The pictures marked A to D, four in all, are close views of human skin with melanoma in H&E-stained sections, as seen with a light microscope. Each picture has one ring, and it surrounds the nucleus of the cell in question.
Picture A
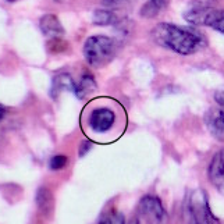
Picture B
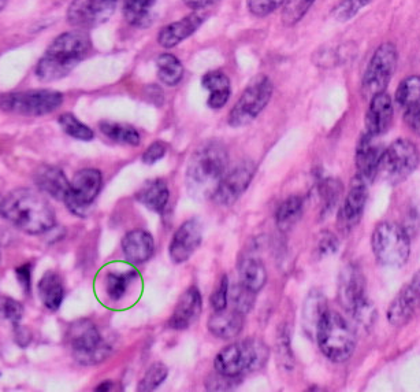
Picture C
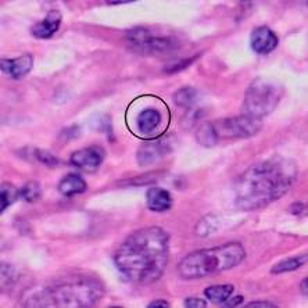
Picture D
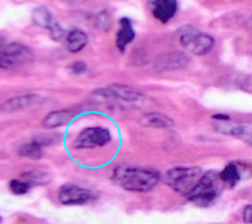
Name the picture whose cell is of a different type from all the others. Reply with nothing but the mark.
B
